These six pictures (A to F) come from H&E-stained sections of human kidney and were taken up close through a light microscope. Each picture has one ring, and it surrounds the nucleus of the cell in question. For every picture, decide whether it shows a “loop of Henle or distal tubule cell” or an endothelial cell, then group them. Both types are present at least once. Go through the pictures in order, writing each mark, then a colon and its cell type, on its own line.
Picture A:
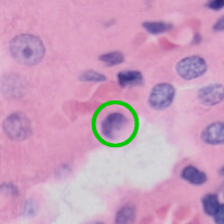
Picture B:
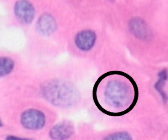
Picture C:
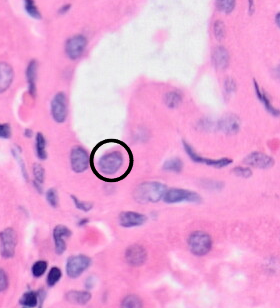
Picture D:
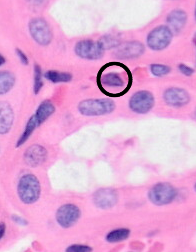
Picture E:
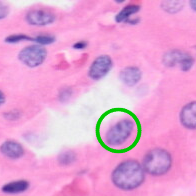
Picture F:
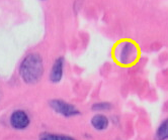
A: loop of Henle or distal tubule cell
B: loop of Henle or distal tubule cell
C: loop of Henle or distal tubule cell
D: endothelial cell
E: loop of Henle or distal tubule cell
F: endothelial cell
